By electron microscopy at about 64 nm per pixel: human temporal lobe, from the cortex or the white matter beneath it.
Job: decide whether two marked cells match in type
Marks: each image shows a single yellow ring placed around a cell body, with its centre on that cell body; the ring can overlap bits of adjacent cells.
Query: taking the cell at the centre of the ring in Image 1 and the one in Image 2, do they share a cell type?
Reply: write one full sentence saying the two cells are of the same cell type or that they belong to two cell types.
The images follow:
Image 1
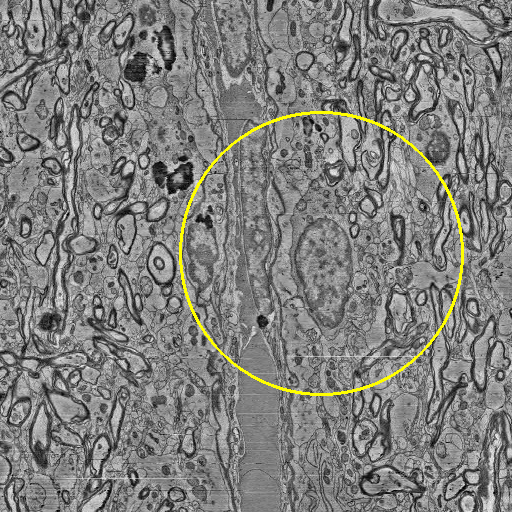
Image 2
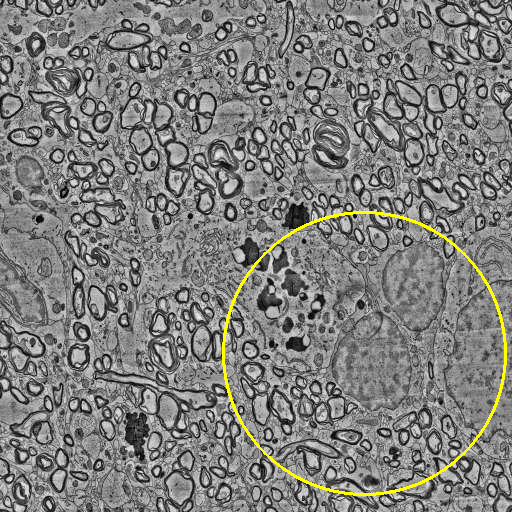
The cells at the ring centres in Image 1 and Image 2 are of the same cell type.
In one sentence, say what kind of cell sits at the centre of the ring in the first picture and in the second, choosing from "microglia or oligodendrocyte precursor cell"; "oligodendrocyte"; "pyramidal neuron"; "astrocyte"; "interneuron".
Each one of the two ringed cells is an oligodendrocyte.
